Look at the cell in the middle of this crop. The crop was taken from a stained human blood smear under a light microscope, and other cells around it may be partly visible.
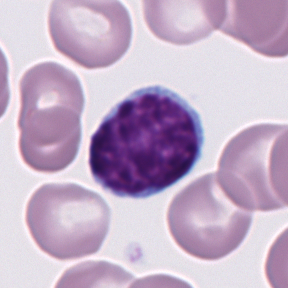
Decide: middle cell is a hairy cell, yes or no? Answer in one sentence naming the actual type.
No, sorry, the middle cell is a typical lymphocyte rather than a hairy cell.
